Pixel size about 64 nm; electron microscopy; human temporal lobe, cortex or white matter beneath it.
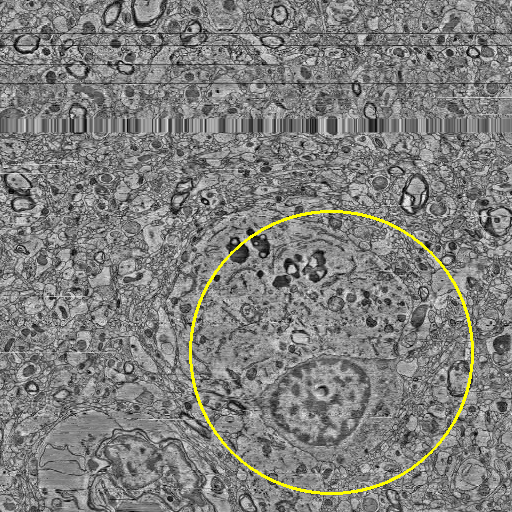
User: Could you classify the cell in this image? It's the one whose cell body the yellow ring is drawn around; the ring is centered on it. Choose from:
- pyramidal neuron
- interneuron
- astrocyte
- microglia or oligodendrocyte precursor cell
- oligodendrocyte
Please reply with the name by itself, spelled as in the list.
oligodendrocyte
